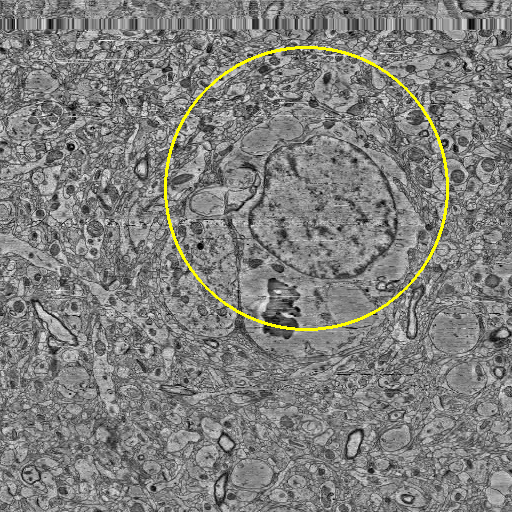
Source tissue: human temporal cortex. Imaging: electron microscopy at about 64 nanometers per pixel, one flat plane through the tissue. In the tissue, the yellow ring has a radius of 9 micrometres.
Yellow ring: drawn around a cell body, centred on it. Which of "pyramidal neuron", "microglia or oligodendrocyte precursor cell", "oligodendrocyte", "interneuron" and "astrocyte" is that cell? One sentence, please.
That cell body is from an astrocyte.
